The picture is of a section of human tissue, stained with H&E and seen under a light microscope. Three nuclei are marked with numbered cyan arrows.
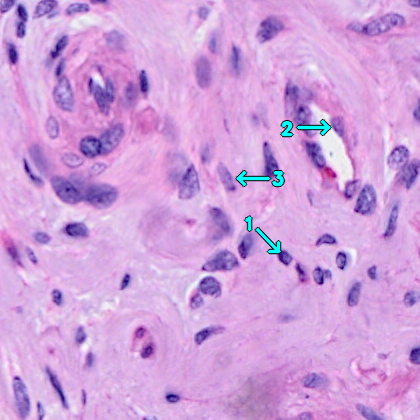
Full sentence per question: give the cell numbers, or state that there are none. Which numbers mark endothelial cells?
In contrast to the remaining marked cells, cell 2 is an endothelial cell.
